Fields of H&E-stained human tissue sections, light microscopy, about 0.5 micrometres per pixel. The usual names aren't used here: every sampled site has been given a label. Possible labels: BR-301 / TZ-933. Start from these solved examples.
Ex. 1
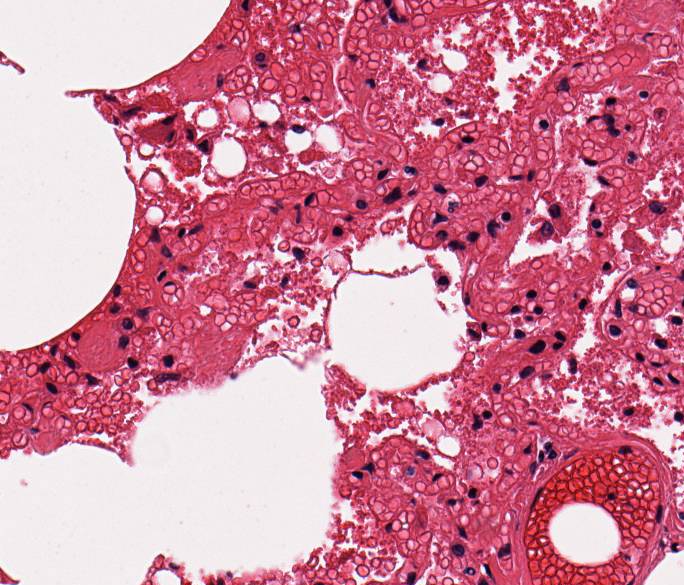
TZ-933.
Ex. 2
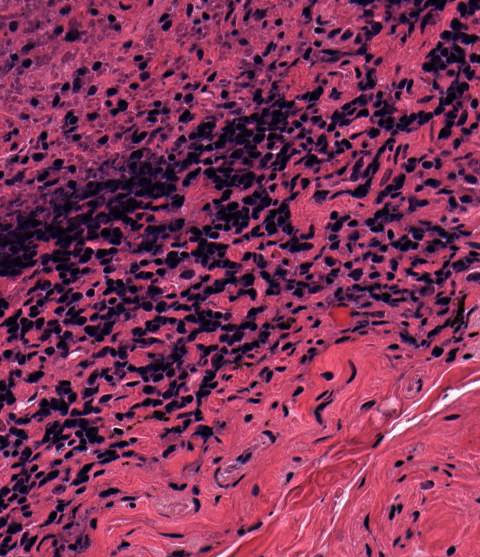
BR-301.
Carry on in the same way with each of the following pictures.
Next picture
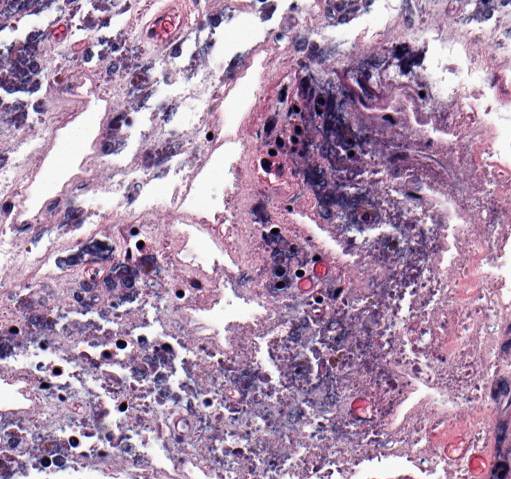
BR-301.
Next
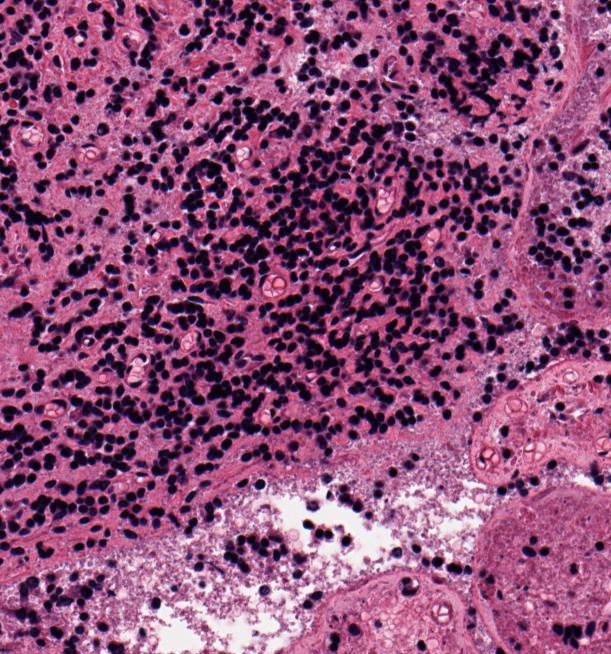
BR-301.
